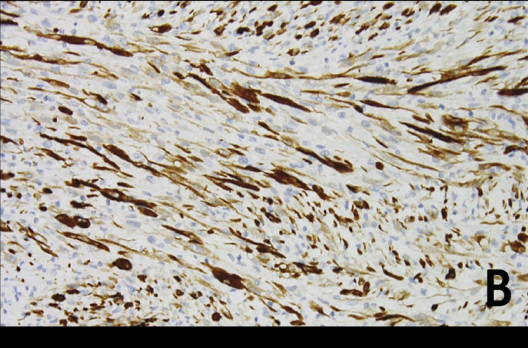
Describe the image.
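The section shows spindle cells lying in parallel streams. Many cells have strongly brown, elongated, tapering cytoplasm. Their nuclei are stained blue and are oval to elongated.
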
